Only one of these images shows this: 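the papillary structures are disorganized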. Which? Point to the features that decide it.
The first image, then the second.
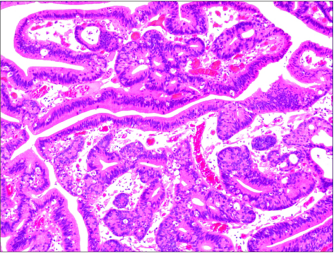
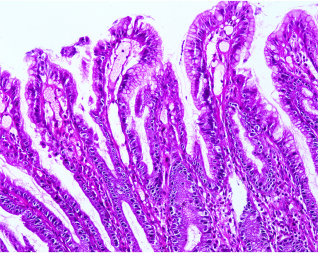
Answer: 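The first image. First image: papillae branch irregularly and are cut at many angles, with crowded stratified nuclei.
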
